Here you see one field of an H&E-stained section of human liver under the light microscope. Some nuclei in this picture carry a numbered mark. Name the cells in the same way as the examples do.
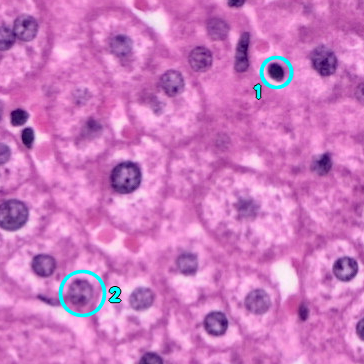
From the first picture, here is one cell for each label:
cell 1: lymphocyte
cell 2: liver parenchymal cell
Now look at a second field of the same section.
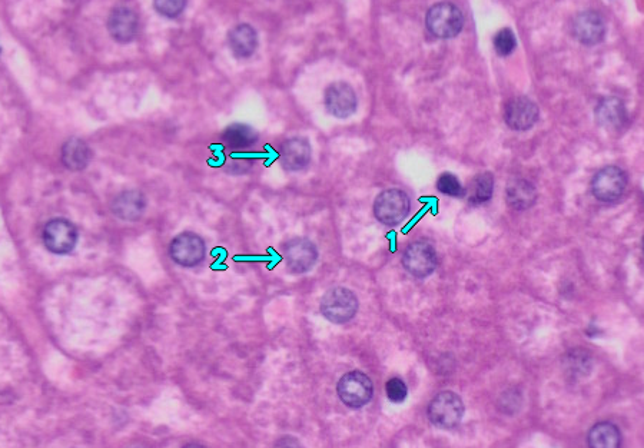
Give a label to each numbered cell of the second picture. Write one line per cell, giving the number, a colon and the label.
1: lymphocyte
2: liver parenchymal cell
3: liver parenchymal cell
